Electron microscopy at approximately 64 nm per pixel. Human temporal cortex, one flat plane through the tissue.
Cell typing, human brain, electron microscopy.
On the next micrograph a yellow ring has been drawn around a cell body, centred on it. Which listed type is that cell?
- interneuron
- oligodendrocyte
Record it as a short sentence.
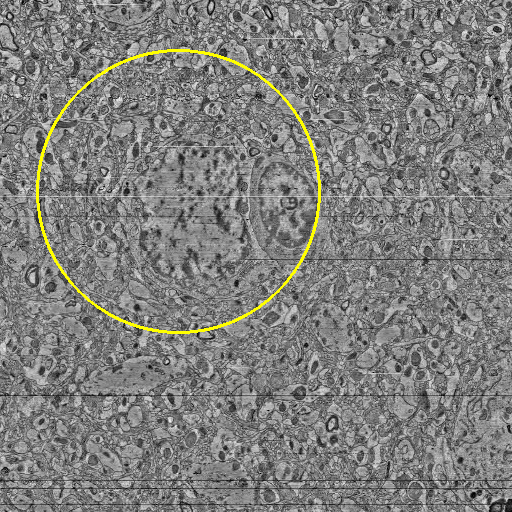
The cell body in the ring's centre belongs to an interneuron.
